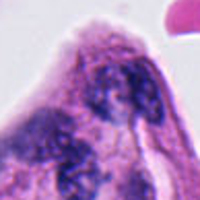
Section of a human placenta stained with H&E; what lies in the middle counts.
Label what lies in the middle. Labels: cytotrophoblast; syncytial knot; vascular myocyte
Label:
cytotrophoblast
